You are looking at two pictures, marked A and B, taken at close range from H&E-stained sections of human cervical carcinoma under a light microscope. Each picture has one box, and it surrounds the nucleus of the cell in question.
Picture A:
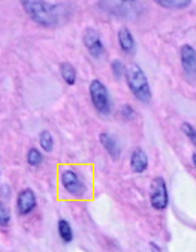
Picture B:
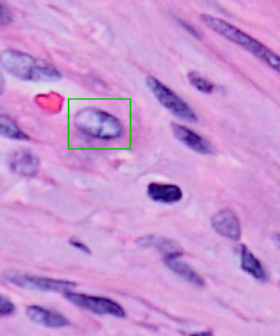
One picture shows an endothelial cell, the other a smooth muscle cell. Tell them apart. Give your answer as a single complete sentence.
In picture A the cell is a smooth muscle cell; in picture B, an endothelial cell.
